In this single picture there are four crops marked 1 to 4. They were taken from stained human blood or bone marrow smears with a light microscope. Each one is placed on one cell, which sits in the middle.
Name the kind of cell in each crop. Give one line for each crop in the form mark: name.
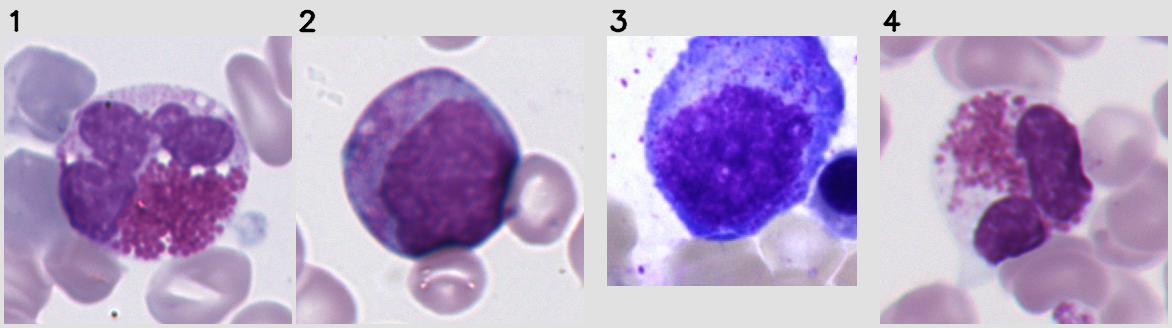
1: eosinophil
2: promyelocyte
3: promyelocyte
4: eosinophil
